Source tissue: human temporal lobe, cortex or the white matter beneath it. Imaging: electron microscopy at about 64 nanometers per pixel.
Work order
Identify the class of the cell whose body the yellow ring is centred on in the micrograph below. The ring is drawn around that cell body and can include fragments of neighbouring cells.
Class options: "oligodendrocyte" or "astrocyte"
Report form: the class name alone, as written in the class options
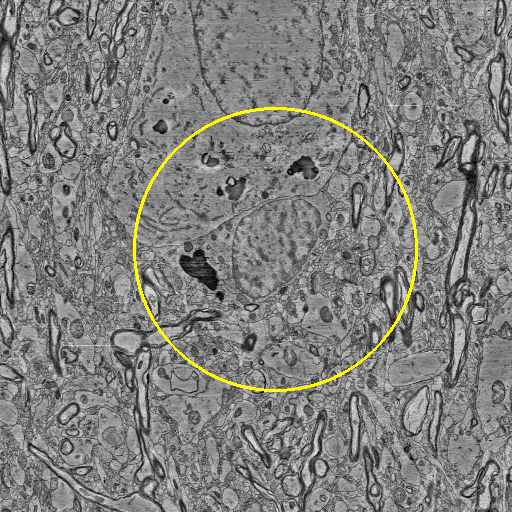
oligodendrocyte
